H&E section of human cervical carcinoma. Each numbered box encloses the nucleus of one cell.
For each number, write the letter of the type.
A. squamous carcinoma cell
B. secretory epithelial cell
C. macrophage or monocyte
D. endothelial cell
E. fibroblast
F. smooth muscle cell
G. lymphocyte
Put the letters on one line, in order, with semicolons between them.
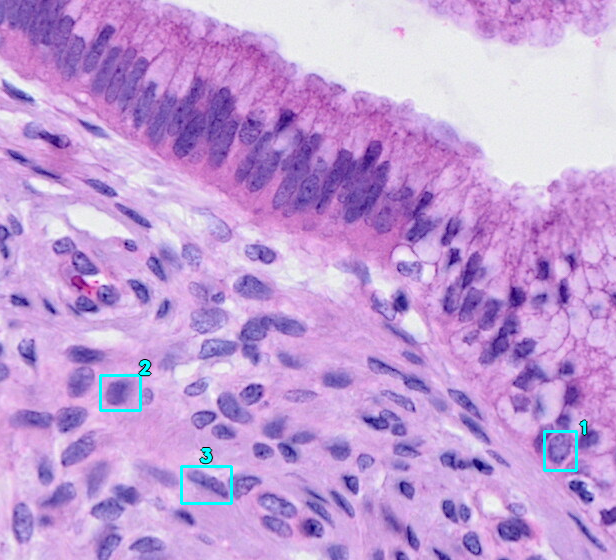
B; E; E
